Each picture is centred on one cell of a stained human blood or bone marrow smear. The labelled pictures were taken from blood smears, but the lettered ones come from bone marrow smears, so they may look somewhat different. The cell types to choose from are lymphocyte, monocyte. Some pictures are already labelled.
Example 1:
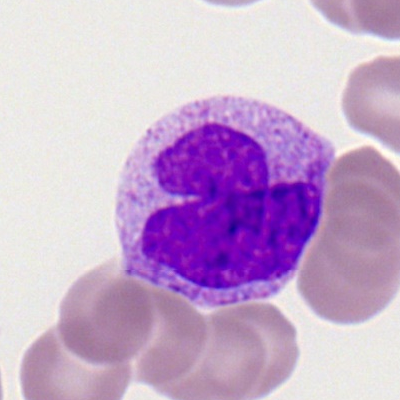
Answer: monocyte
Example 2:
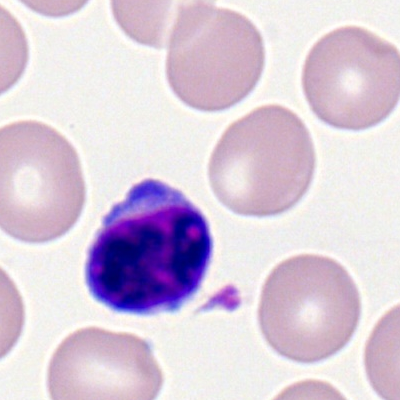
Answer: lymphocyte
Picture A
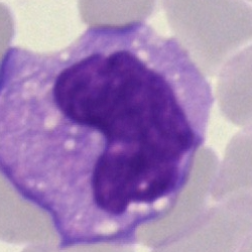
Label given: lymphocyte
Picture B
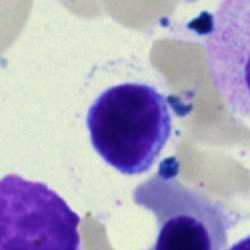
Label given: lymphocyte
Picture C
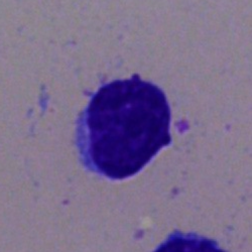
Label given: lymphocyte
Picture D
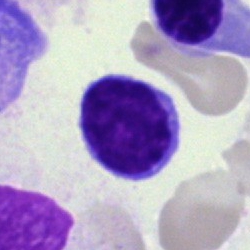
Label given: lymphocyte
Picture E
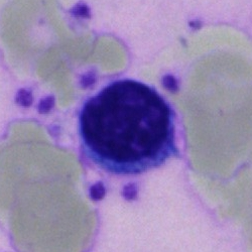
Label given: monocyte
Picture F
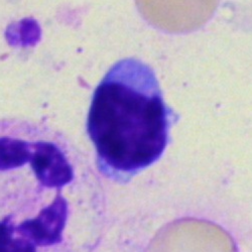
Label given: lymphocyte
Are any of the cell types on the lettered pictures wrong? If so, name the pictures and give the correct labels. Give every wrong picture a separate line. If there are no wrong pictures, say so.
A: not lymphocyte but monocyte
E: not monocyte but lymphocyte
